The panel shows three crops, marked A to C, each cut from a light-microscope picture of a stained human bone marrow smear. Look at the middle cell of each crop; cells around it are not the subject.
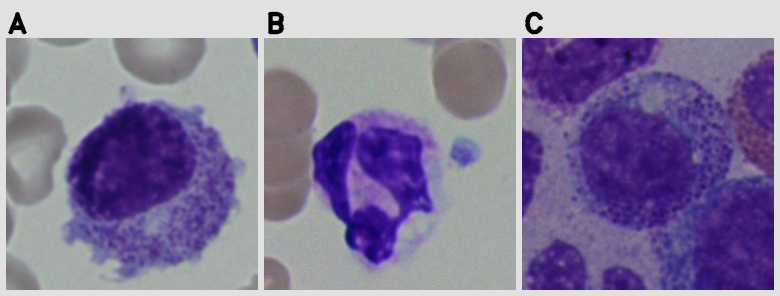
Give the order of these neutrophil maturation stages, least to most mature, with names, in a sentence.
In terms of maturity, from least to most, the order is crop C (a promyelocyte), crop A (a myelocyte) and crop B (a segmented neutrophil).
